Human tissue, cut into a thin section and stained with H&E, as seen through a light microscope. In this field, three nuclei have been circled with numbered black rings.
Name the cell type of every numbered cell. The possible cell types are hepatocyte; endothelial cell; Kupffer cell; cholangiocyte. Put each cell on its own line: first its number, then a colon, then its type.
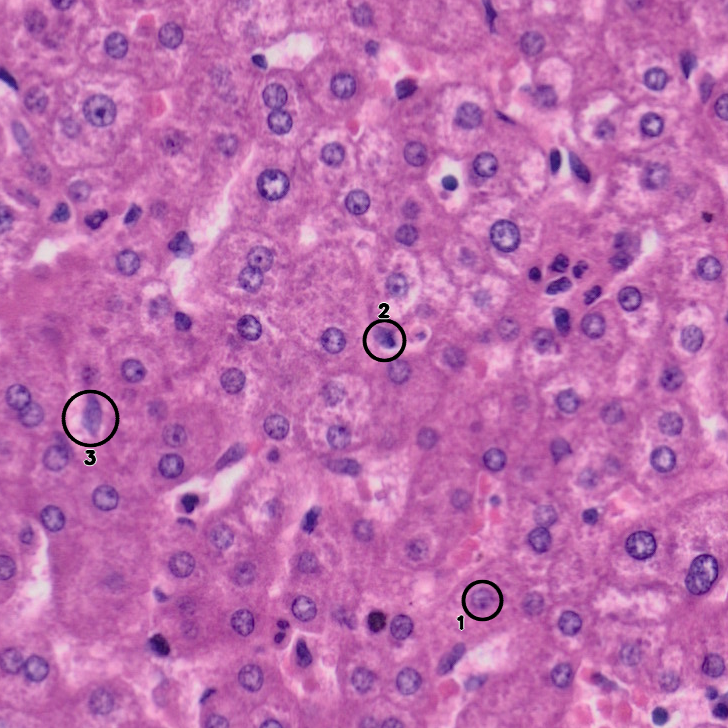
1: hepatocyte
2: endothelial cell
3: Kupffer cell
